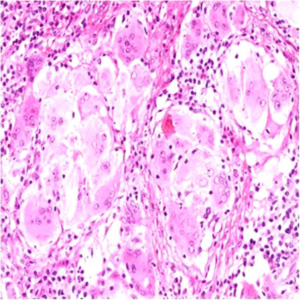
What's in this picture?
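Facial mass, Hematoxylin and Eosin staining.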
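Nests of squamous epithelial cells fill much of the field: the cells are large and polygonal, with abundant pale pink cytoplasm and round nuclei. Between the nests lies a stroma crowded with small cells bearing dark, round nuclei.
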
